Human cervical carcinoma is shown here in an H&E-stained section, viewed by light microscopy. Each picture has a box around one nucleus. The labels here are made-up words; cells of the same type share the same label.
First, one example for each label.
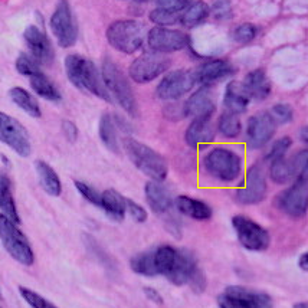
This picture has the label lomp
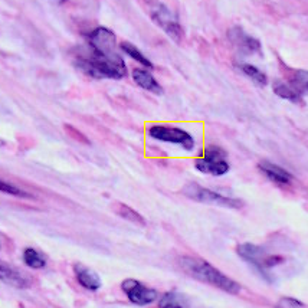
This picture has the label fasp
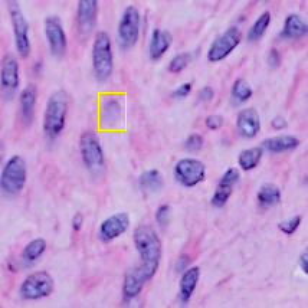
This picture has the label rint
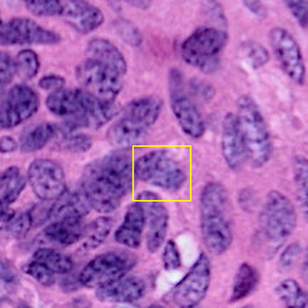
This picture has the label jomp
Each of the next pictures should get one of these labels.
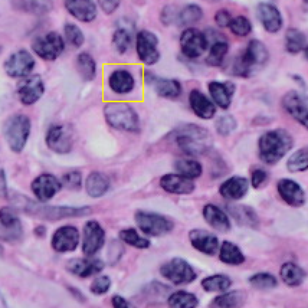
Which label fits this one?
fasp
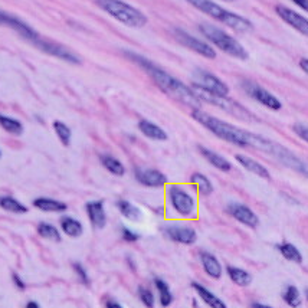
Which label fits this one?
rint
